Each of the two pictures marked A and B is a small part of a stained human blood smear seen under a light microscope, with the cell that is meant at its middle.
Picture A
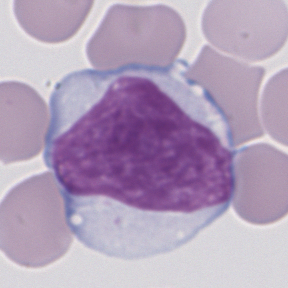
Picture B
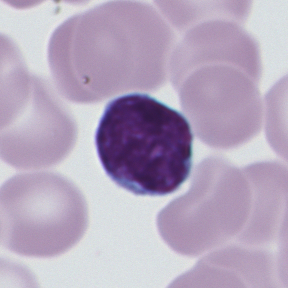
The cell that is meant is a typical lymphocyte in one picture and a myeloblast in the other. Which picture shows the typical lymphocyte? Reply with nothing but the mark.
B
